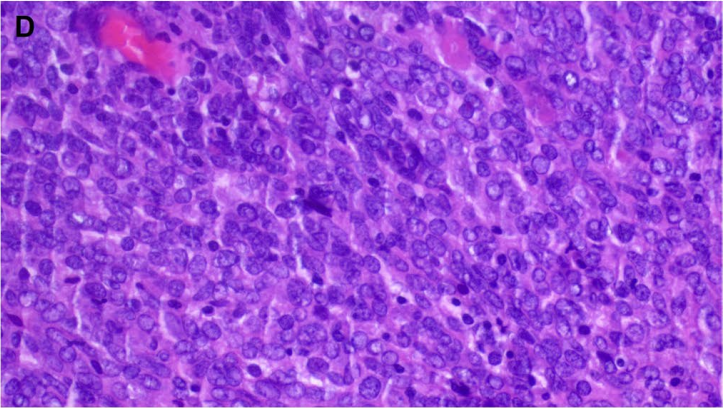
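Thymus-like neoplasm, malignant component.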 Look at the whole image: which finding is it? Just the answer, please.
High cellularity with monotonous cytology.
